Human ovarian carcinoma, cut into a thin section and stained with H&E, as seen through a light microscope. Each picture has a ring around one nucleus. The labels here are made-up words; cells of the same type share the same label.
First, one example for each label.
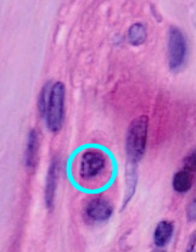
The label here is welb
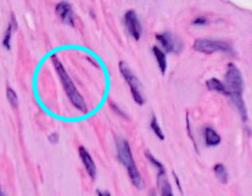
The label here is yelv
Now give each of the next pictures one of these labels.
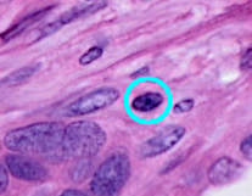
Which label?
welb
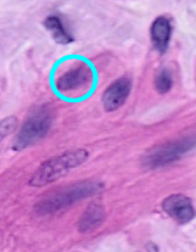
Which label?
yelv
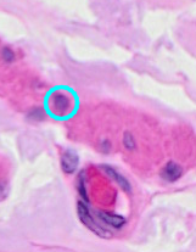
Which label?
yelv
